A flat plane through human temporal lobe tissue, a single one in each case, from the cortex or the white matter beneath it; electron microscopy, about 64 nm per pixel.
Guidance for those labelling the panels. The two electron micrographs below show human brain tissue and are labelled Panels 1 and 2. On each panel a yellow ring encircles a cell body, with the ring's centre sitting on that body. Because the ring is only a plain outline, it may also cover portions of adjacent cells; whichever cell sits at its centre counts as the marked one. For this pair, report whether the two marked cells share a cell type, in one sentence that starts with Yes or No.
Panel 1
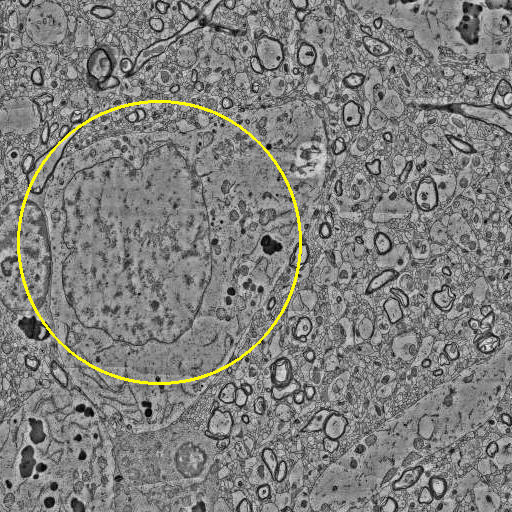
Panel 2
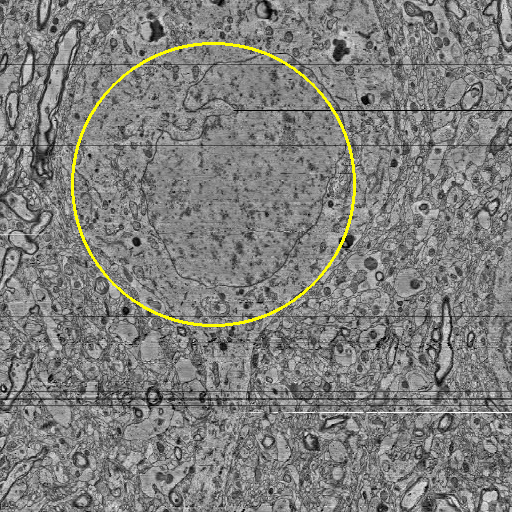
Yes, in Panel 1 and Panel 2 the marked cells at the ring centres share one type.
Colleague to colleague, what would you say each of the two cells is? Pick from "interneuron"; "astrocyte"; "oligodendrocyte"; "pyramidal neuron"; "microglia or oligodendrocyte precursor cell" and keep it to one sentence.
The cell at the ring centre is a pyramidal neuron in both pictures.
